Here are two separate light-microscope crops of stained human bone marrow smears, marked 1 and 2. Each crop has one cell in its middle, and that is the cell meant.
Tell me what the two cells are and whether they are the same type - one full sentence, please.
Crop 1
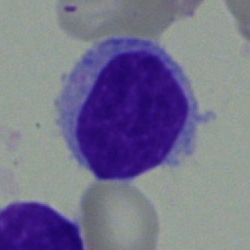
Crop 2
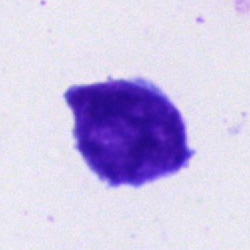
Yes, both crops contain lymphocytes at their centres.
